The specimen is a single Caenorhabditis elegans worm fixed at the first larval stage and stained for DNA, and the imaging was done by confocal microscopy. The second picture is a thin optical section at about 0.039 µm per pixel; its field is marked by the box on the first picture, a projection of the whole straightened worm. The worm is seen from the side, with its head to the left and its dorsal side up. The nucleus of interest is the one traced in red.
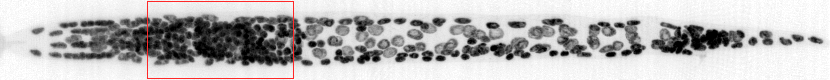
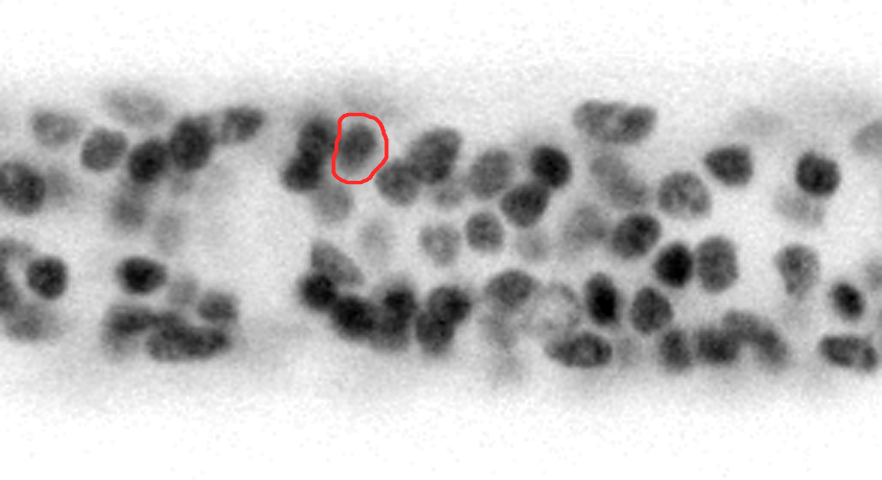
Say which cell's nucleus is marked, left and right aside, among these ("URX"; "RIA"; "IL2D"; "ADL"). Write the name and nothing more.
URX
